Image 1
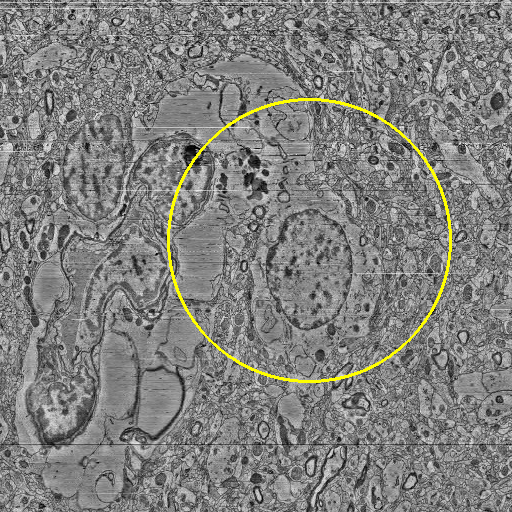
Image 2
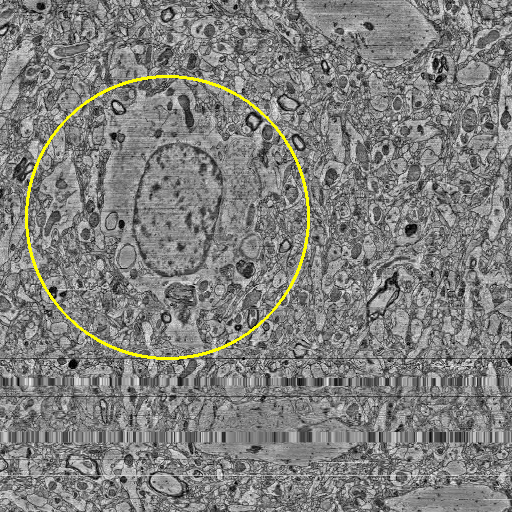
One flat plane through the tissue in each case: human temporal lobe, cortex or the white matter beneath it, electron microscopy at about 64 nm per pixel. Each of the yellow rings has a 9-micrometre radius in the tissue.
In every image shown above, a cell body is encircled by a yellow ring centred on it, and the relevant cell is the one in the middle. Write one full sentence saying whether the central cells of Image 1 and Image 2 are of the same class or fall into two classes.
The cell at the ring's centre in Image 1 and its counterpart in Image 2 are of the same class.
